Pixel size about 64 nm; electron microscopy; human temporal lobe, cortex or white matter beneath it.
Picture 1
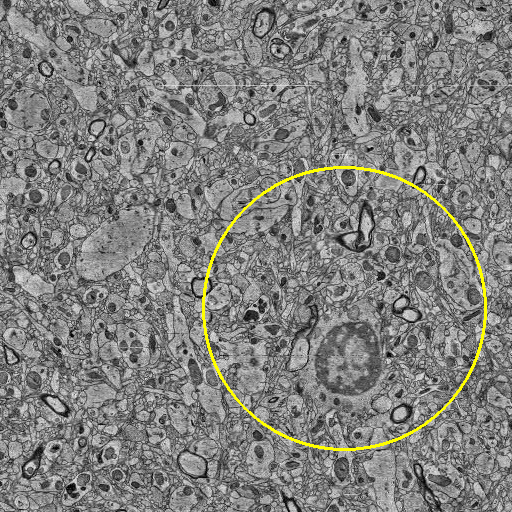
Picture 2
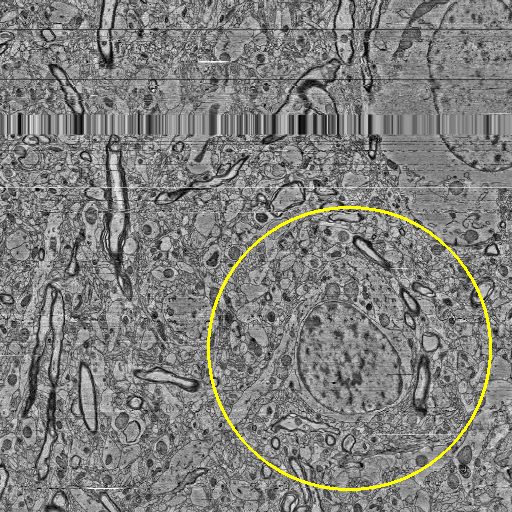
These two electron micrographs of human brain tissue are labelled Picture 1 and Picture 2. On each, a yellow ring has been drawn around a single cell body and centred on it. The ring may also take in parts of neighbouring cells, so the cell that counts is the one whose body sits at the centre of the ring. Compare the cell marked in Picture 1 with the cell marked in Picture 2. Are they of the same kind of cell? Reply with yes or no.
no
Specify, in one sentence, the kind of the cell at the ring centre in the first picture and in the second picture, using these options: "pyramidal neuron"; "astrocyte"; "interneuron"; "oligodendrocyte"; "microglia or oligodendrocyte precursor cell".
So the first is an oligodendrocyte, the second a microglial cell or oligodendrocyte precursor cell.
